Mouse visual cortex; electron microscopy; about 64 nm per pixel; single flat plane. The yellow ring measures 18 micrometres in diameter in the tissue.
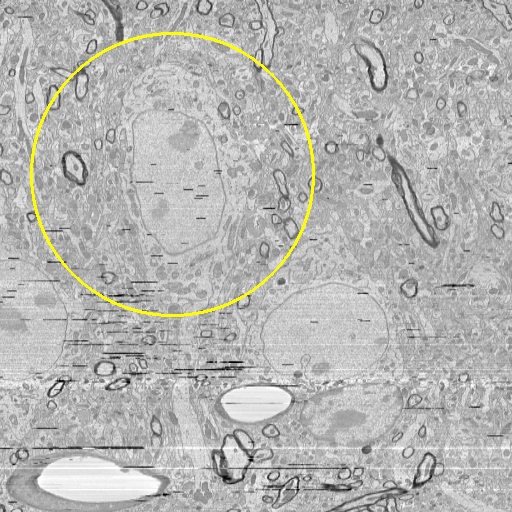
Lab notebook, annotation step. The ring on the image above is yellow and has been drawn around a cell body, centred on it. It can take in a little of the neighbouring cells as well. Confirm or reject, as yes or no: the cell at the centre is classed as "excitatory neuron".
Yes, confirmed for that class.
